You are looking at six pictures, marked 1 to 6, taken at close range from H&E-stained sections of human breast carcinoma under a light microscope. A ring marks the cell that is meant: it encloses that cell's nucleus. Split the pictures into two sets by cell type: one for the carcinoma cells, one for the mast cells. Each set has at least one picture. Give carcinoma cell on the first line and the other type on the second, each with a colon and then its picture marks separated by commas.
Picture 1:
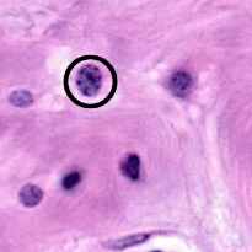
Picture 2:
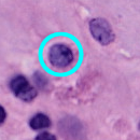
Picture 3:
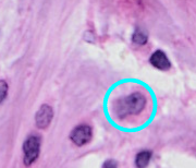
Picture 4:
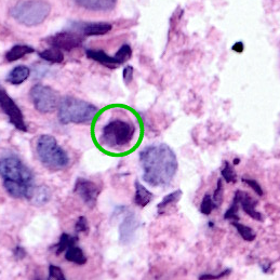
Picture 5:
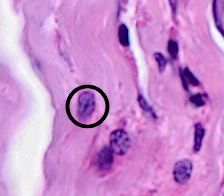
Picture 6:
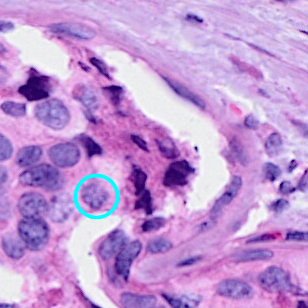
carcinoma cell: 4, 6
mast cell: 1, 2, 3, 5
